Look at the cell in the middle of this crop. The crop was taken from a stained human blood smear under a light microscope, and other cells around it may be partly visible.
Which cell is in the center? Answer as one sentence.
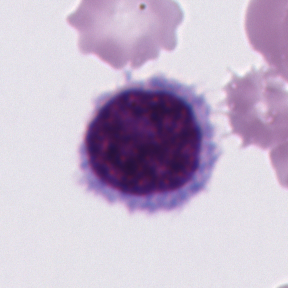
The cell at the centre of the field is a hairy cell.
